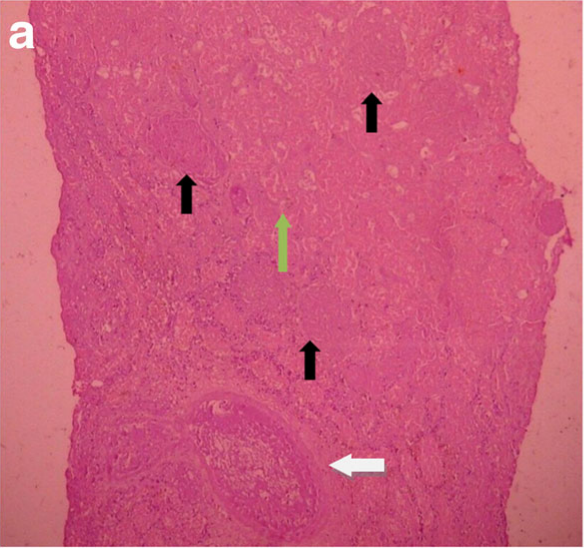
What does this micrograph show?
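This low-power view of a renal cortex core shows glomeruli and tubules that have undergone extensive necrosis, leaving pale pink tissue with only scattered nuclei. Several rounded structures stand out as glomeruli, preserved only in outline, among fields of small tubular profiles. Near the bottom lies an artery with a thick concentric wall whose lumen is filled with pale granular thrombus. The overall framework of the tissue remains, though living cell detail is largely lost.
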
